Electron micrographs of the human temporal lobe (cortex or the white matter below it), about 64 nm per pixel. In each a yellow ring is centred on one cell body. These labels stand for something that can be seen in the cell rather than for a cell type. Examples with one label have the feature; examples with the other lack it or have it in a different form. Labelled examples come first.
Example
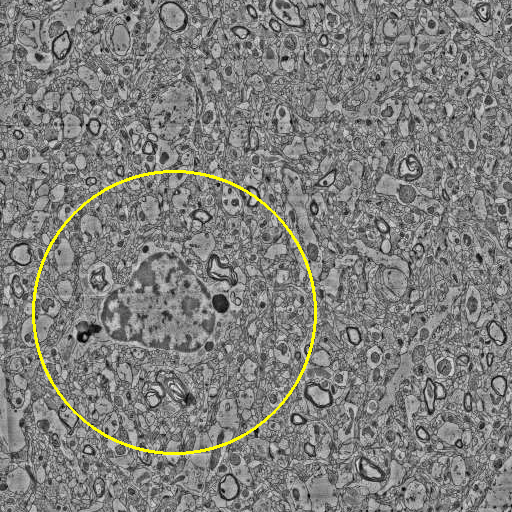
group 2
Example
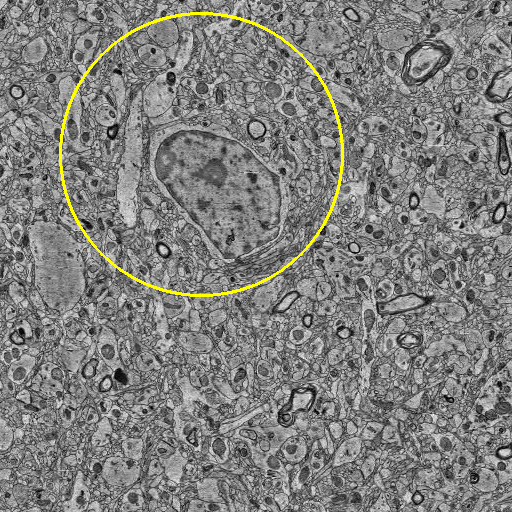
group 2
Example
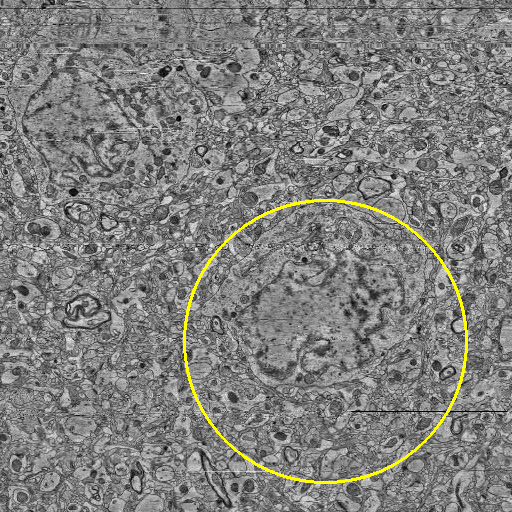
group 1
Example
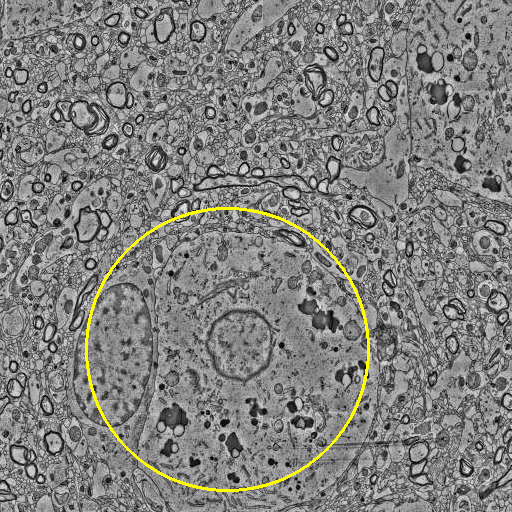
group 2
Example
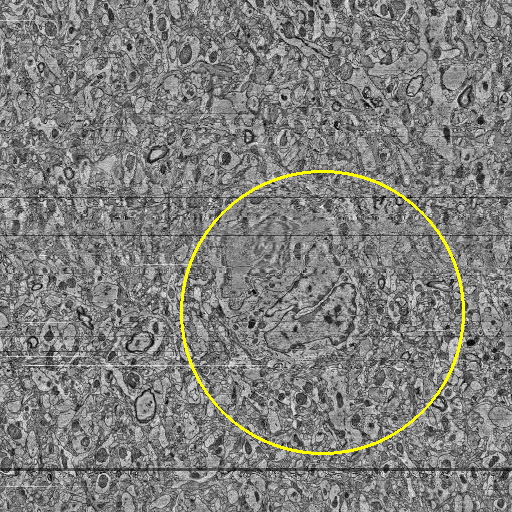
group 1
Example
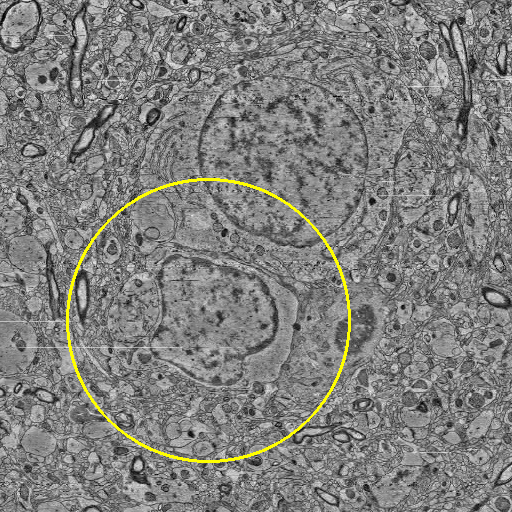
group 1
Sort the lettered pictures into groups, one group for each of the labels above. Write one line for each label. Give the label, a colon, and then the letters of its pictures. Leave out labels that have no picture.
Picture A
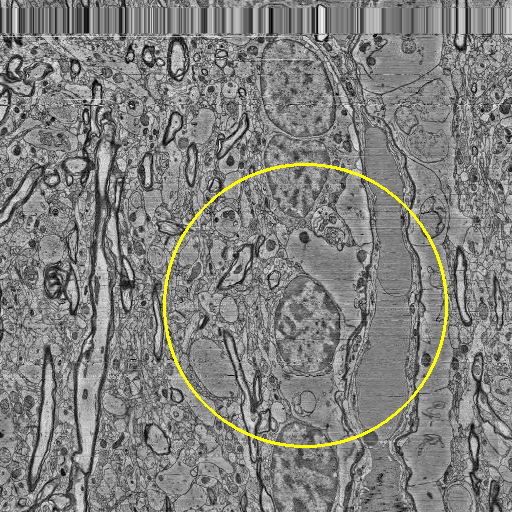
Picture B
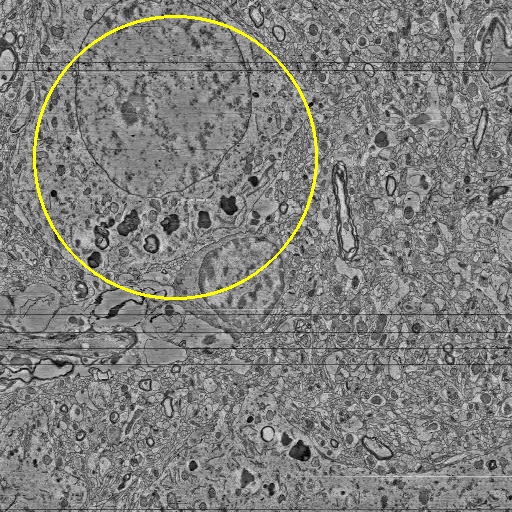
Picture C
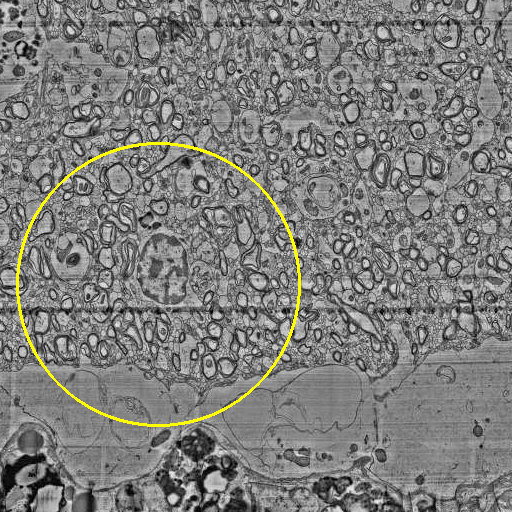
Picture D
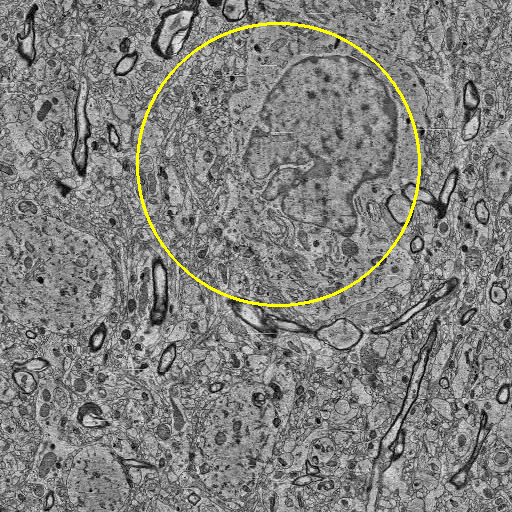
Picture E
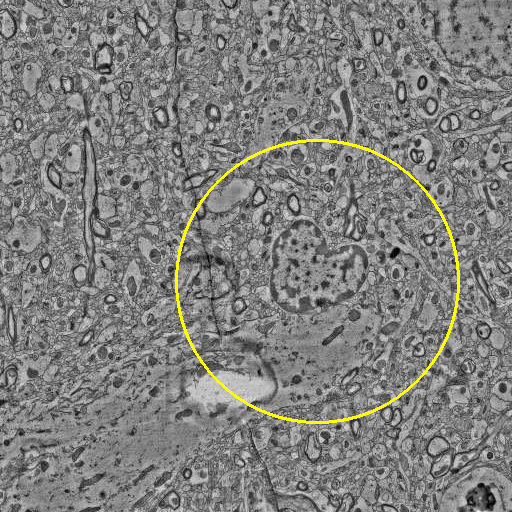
group 2: A, B, C
group 1: D, E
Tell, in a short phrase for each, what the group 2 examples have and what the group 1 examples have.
Seen in group 2: smooth nuclear envelopes without deep folds; seen in group 1: deeply folded or indented nuclear envelopes.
